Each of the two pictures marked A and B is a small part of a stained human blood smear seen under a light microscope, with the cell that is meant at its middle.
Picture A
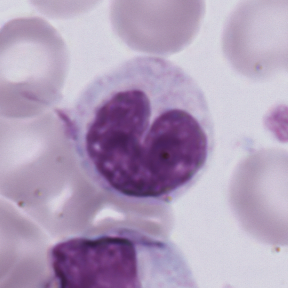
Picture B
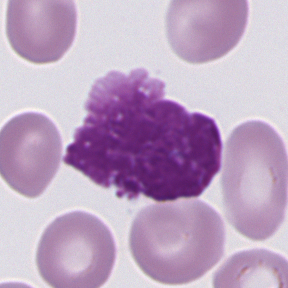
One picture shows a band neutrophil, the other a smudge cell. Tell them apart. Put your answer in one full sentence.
It is picture A that shows a band neutrophil, and picture B that shows a smudge cell.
